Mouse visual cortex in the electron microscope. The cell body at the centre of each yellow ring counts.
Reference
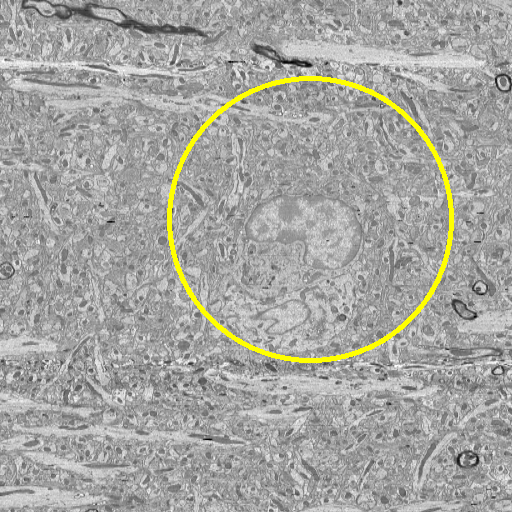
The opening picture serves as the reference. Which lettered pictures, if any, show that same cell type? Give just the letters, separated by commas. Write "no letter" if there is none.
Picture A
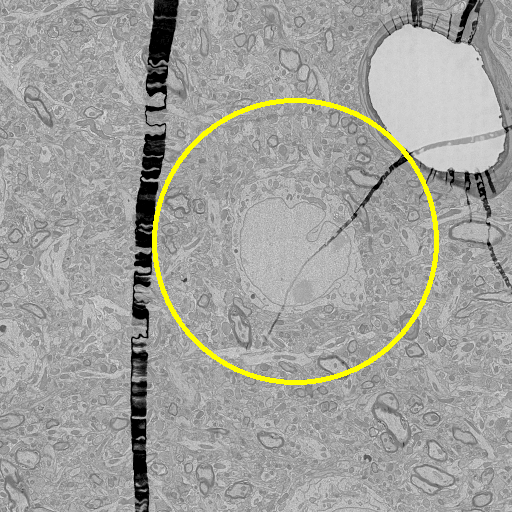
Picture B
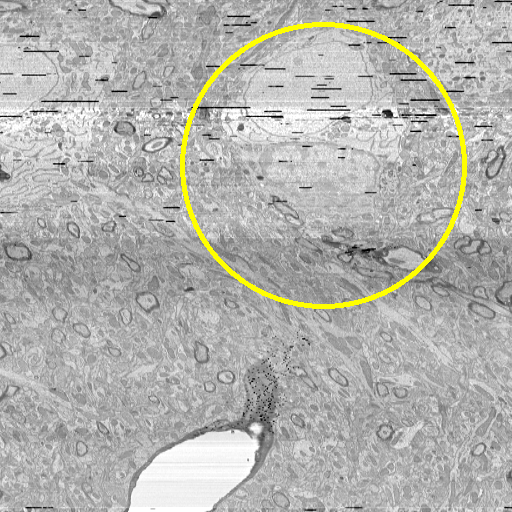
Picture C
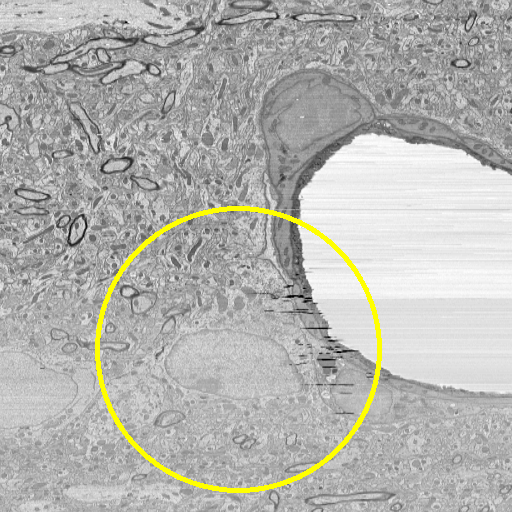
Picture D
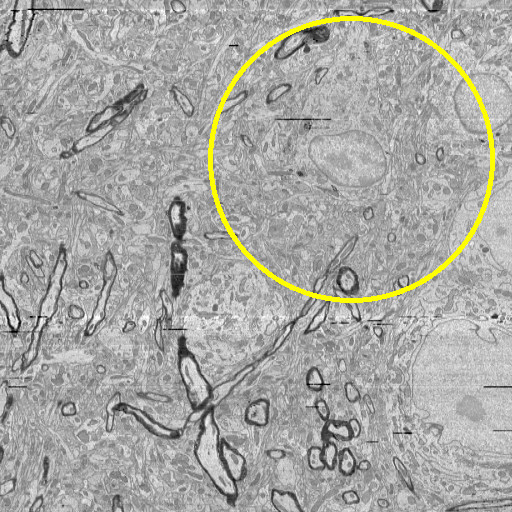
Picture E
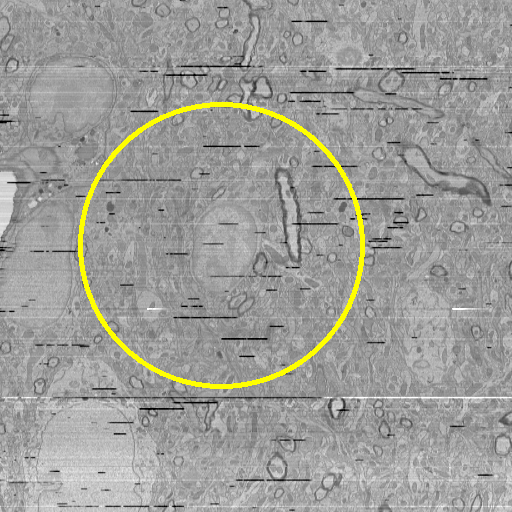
B, D, E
